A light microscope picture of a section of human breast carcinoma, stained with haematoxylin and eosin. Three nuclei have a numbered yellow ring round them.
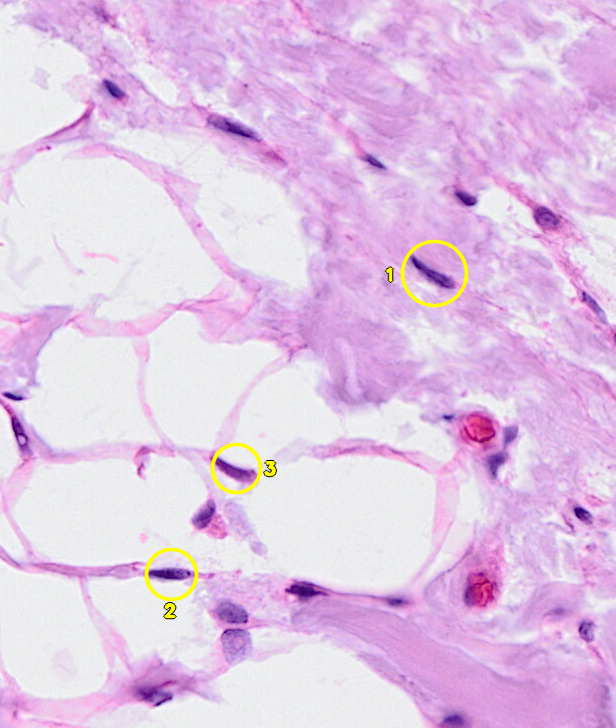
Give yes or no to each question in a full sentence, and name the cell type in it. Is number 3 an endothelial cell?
Yes, the cell that goes by number 3 is an endothelial cell.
